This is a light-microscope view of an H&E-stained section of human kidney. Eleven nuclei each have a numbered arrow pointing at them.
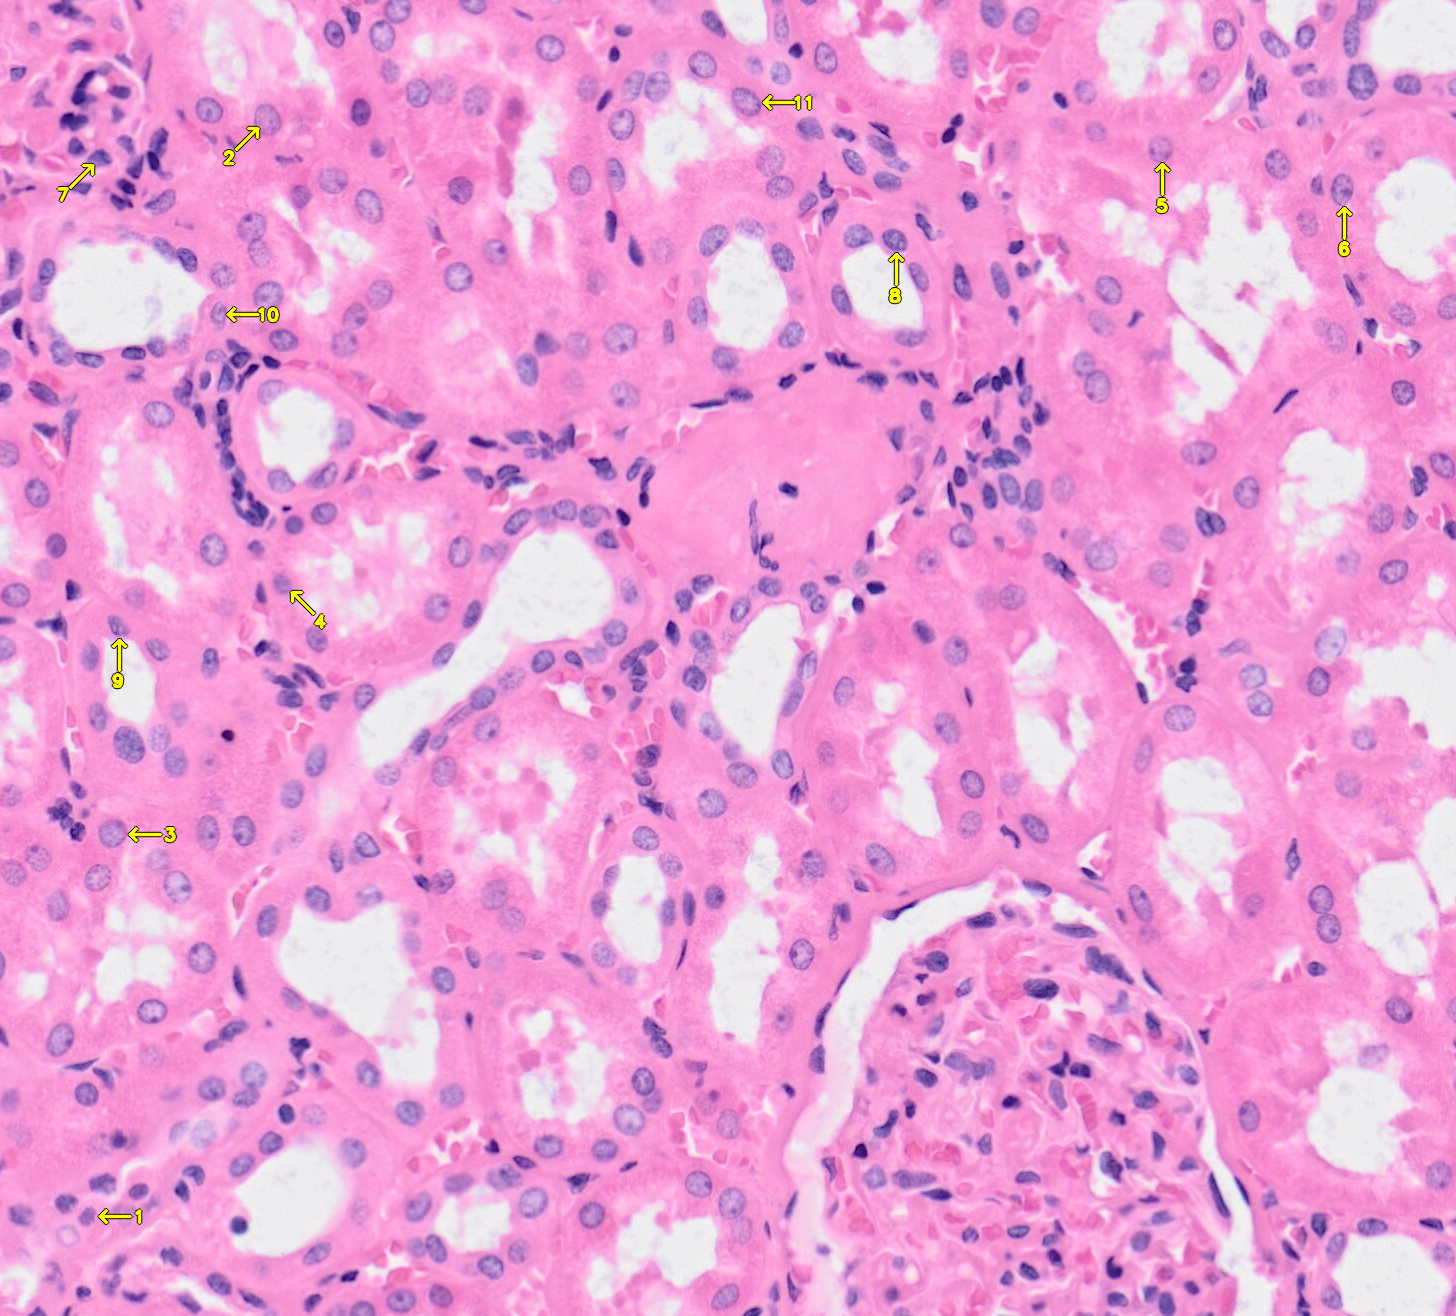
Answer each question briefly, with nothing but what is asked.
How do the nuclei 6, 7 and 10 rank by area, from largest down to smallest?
6, 10, 7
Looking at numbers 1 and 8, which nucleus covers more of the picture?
8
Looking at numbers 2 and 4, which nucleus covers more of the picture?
2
